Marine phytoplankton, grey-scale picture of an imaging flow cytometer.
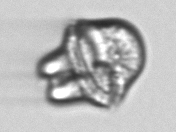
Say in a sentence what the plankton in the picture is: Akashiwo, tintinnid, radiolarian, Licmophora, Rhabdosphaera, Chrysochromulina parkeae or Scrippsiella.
This is Akashiwo.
